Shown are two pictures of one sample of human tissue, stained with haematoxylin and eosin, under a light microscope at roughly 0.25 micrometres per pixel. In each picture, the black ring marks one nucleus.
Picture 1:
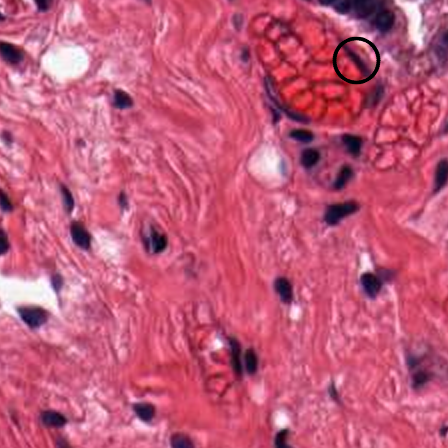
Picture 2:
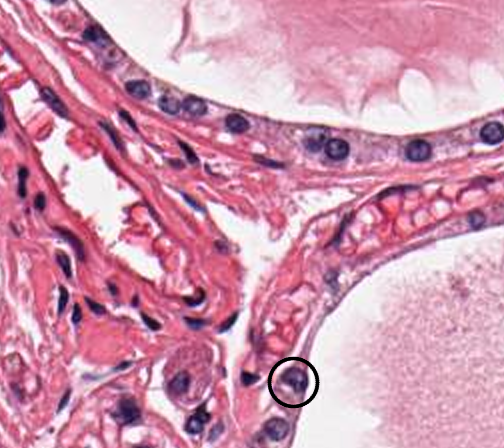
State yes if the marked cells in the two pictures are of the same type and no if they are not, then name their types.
No, the first is an endothelial cell and the second a thyroid follicular cell.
